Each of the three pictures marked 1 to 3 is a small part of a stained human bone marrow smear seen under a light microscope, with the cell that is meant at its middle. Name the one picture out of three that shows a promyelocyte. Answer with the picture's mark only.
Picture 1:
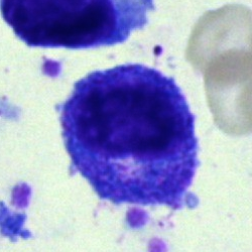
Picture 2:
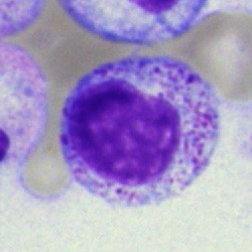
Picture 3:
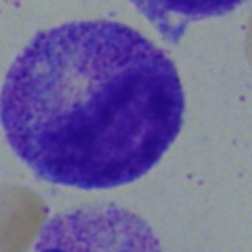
1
